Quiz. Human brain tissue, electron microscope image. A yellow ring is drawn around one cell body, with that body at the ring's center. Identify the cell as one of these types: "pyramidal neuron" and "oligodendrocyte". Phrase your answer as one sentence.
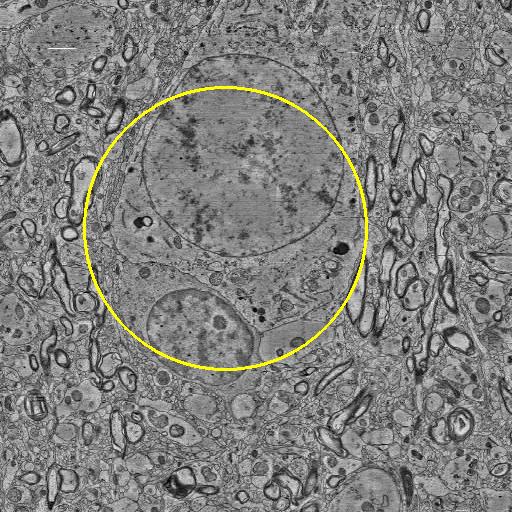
At the center of the ring sits a pyramidal neuron.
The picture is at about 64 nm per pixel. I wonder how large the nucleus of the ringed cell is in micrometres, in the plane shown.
In this plane the nucleus is about 13 micrometres across.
